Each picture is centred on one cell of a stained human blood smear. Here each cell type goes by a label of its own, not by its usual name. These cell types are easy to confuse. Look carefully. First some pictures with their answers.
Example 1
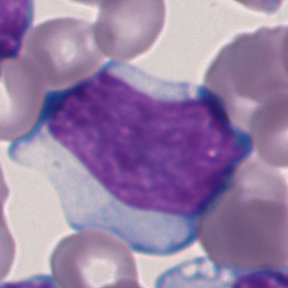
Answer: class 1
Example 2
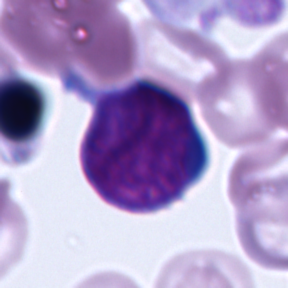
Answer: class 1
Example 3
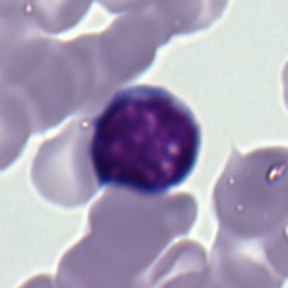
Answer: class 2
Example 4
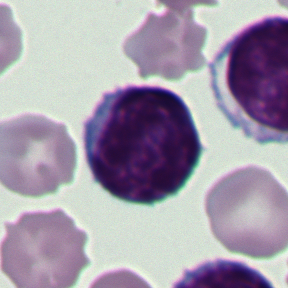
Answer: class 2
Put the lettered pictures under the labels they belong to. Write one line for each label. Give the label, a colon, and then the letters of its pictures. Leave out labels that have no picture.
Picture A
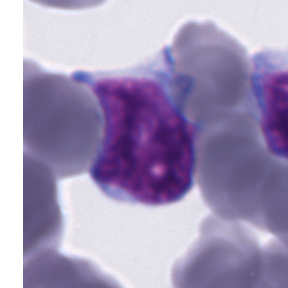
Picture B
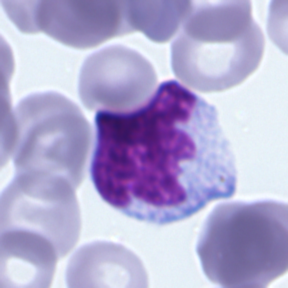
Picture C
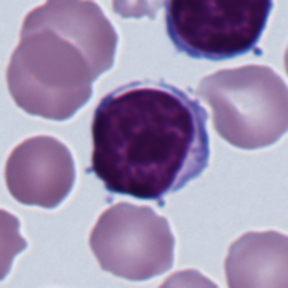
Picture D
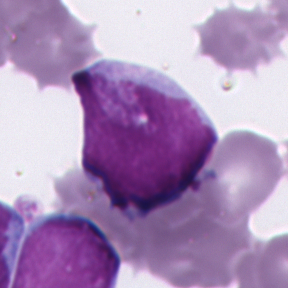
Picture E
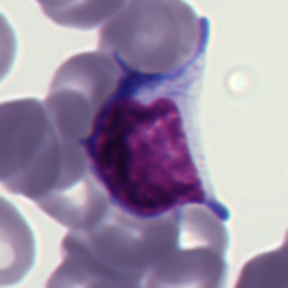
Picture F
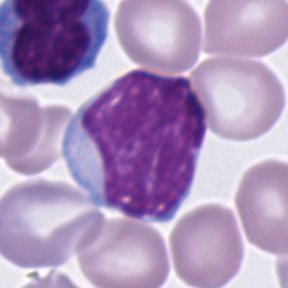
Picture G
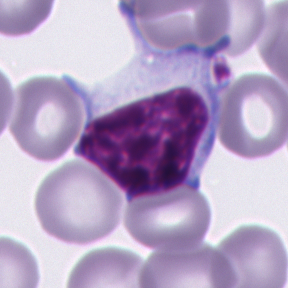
class 1: D, F
class 2: A, B, C, E, G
